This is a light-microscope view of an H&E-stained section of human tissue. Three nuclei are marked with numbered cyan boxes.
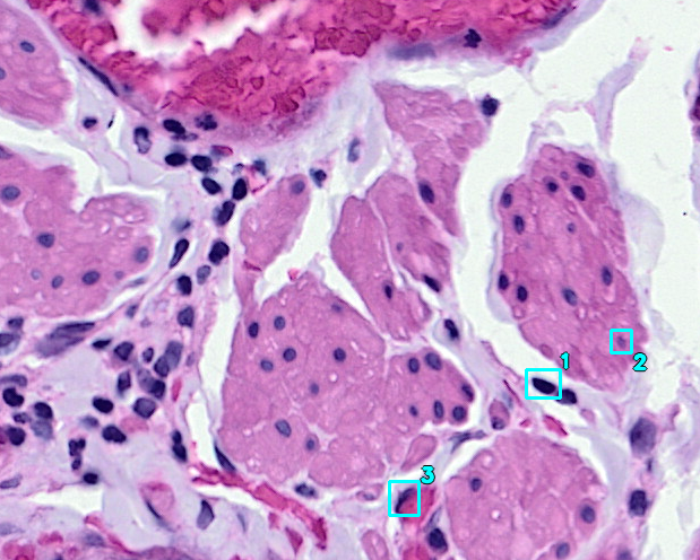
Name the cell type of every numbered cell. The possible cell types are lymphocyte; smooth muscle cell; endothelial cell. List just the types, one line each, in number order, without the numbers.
lymphocyte
smooth muscle cell
endothelial cell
